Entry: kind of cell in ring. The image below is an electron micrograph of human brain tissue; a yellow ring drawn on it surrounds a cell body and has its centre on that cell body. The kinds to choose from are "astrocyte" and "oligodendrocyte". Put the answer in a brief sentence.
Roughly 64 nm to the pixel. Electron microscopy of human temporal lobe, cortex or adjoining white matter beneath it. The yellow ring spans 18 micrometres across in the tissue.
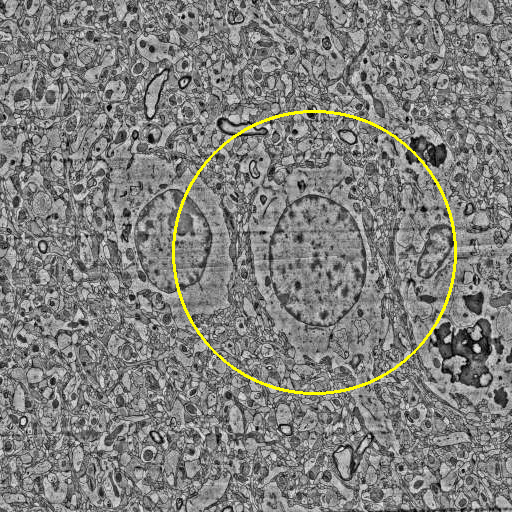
The ring has been drawn around an astrocyte.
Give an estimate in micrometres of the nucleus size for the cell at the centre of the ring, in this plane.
The nucleus has a long axis of about 8 micrometres and a short axis of about 6 micrometres in this plane.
